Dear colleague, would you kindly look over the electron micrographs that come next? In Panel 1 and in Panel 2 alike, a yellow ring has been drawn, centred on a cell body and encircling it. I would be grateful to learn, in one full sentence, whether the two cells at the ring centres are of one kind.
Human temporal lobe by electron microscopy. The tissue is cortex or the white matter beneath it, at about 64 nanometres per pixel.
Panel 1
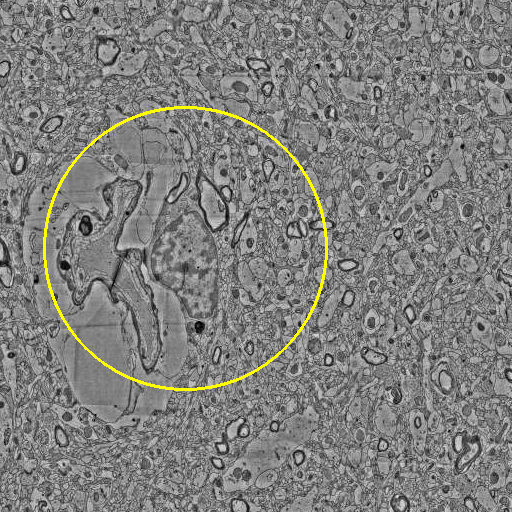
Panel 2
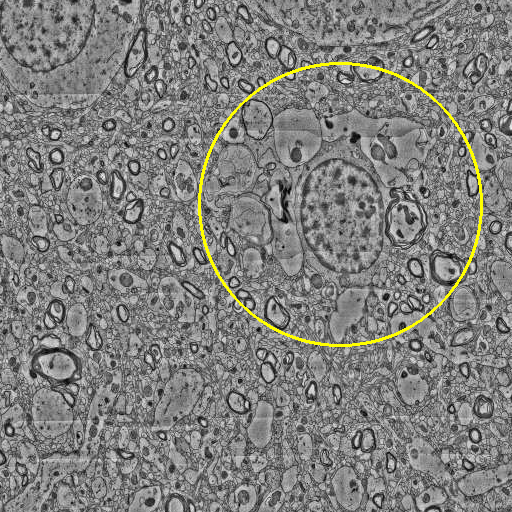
Yes, the cells in the middle of the rings in the two panels are of one kind.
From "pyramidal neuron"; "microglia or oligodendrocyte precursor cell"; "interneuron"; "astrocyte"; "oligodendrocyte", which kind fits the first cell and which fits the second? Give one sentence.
Each of the two pictures has an oligodendrocyte at the ring centre.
